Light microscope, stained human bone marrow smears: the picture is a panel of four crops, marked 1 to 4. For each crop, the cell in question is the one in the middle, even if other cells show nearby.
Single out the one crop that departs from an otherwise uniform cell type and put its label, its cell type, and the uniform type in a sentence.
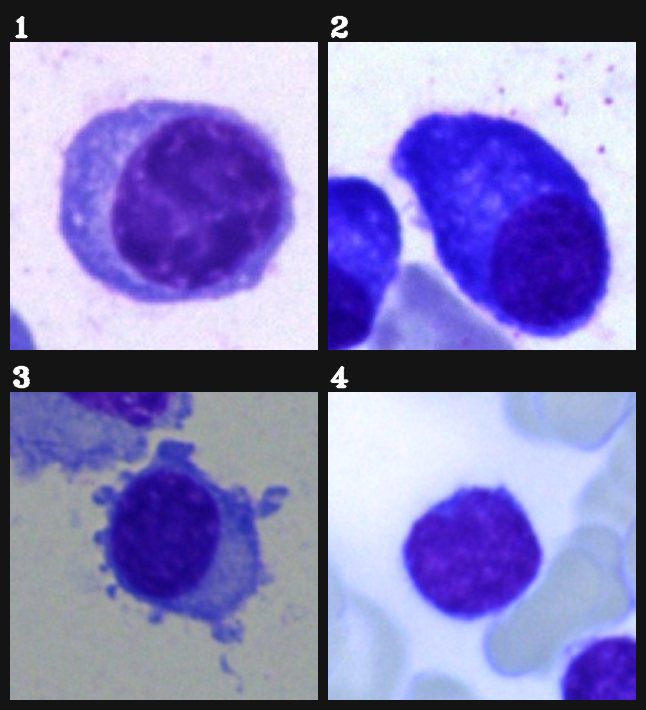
All of the other crops show plasma cells, while crop 4 shows a lymphocyte instead.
